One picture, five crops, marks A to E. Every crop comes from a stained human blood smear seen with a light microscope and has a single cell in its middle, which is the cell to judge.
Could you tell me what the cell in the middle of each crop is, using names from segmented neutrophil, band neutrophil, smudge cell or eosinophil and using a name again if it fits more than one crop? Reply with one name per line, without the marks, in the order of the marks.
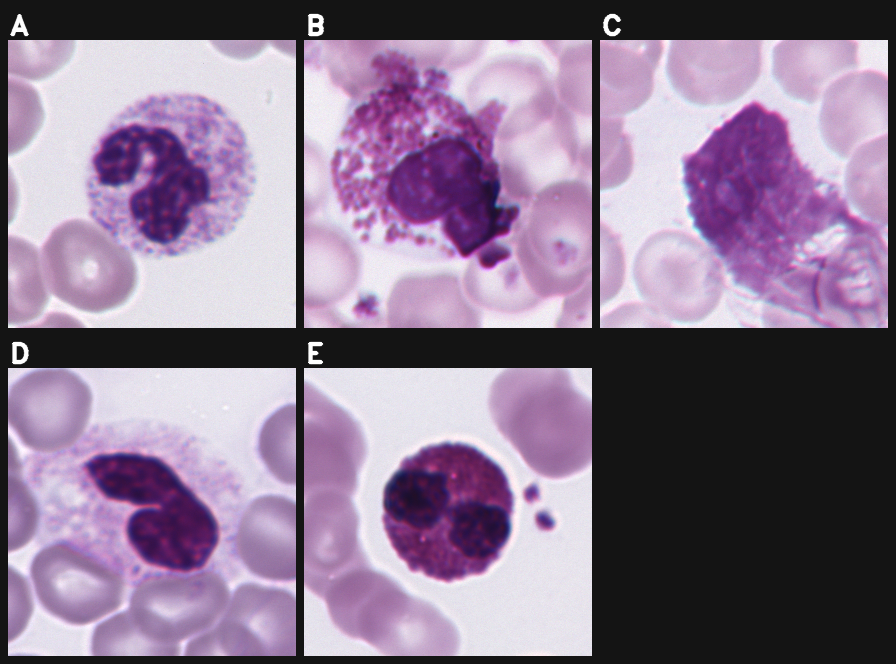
segmented neutrophil
eosinophil
smudge cell
band neutrophil
eosinophil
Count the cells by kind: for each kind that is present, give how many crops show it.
eosinophil: 2
segmented neutrophil: 1
smudge cell: 1
band neutrophil: 1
